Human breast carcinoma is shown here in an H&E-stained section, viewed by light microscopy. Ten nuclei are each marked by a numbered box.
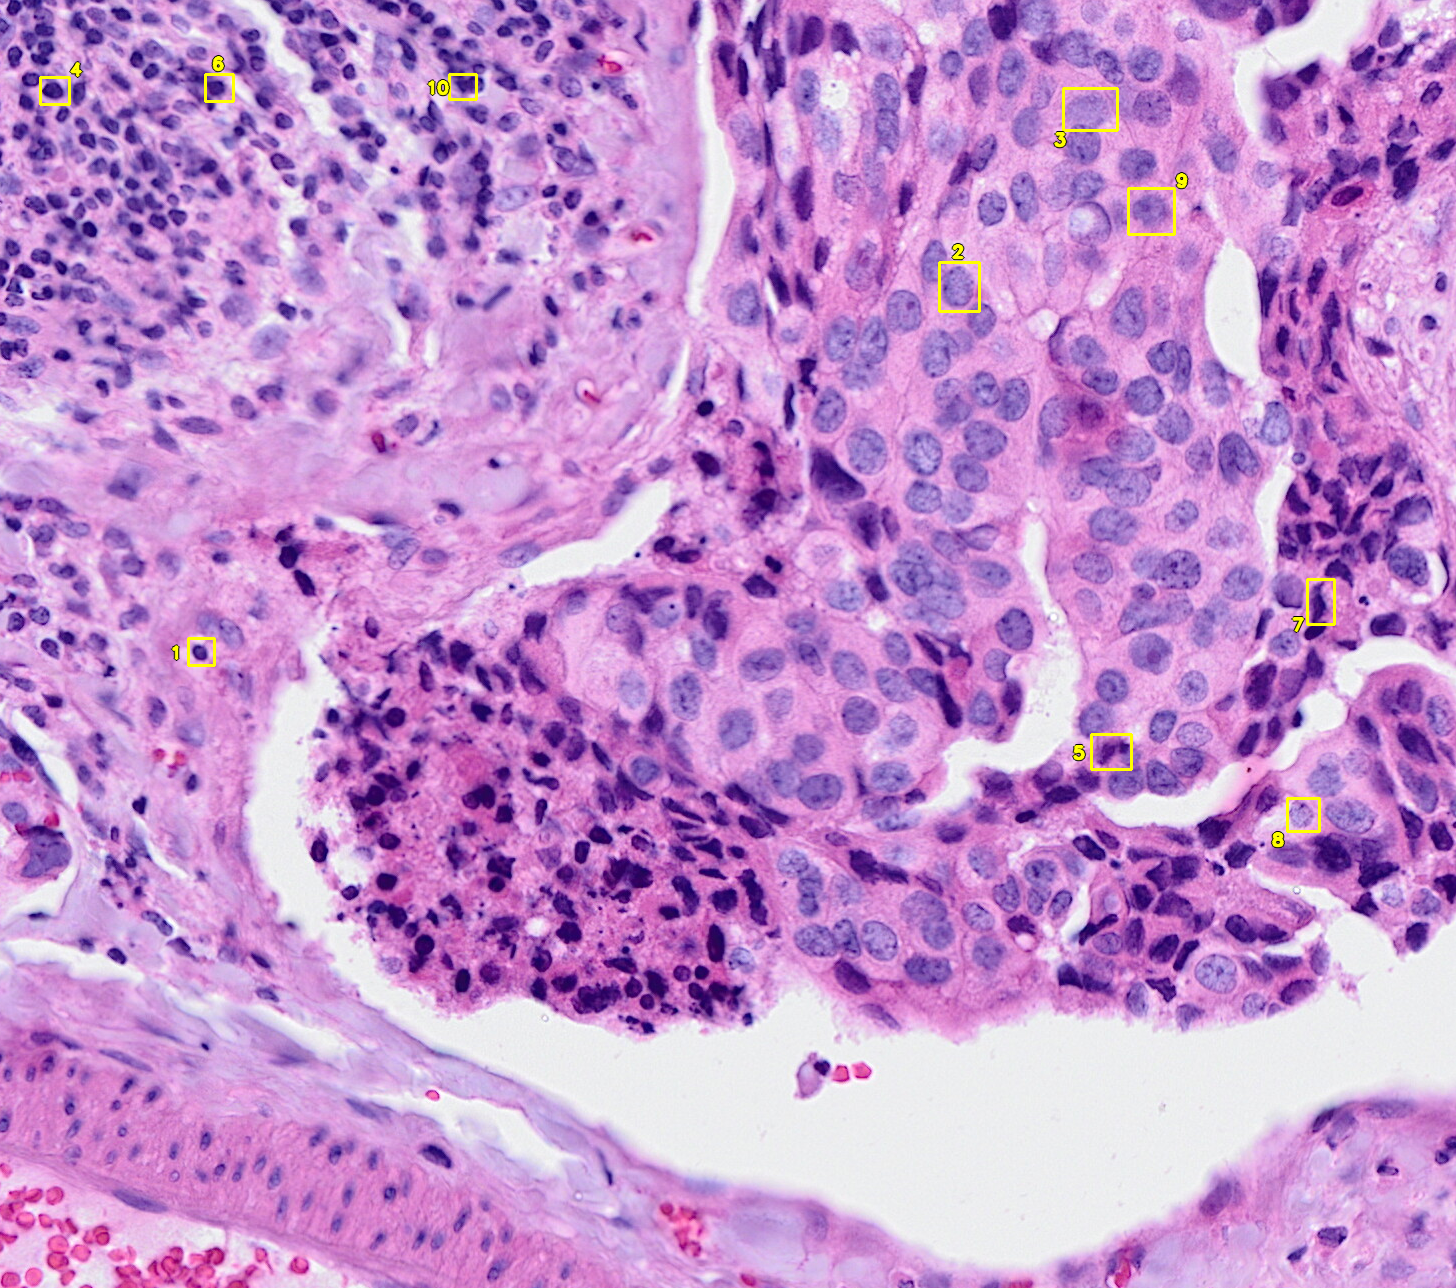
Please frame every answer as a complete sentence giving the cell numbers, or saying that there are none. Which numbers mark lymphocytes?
The identity of cells 1, 4, 6 and 10: they are lymphocytes.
